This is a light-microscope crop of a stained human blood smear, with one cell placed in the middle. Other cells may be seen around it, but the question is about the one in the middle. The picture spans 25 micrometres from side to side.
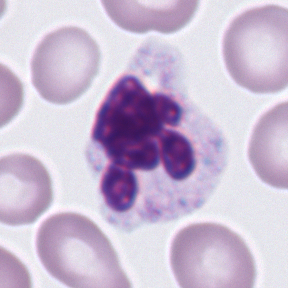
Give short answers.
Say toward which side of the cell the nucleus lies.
upper left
